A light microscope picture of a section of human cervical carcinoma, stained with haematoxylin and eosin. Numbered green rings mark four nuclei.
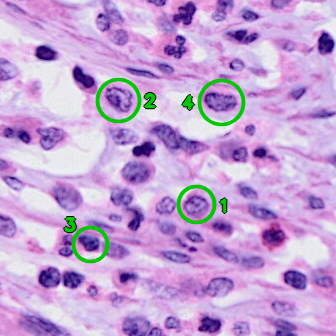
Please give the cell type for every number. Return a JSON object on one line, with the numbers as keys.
{"1": "macrophage or monocyte", "2": "macrophage or monocyte", "3": "lymphocyte", "4": "macrophage or monocyte"}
